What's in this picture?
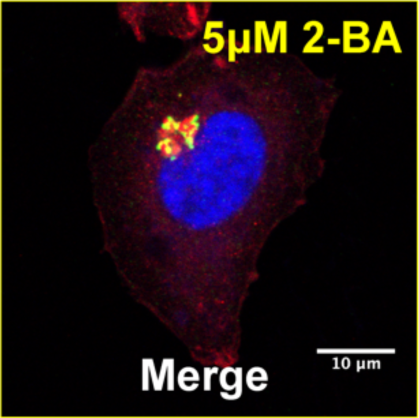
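A single flattened cultured cell with a large oval blue nucleus and a broad, irregular spread of cytoplasm. Red labelling is faint and diffuse through the cytoplasm, with a thin brighter rim along the cell edge. Beside one side of the nucleus lies a dense, compact red cluster. Green puncta form a small ribbon-like aggregate at the same spot, so the cluster appears yellow where the two overlap.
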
